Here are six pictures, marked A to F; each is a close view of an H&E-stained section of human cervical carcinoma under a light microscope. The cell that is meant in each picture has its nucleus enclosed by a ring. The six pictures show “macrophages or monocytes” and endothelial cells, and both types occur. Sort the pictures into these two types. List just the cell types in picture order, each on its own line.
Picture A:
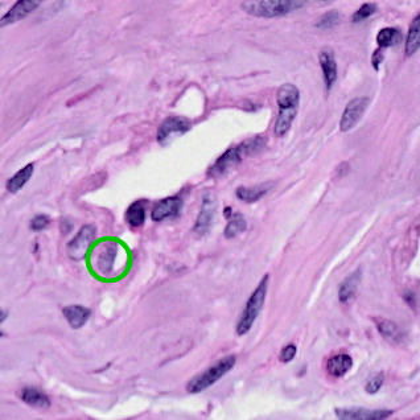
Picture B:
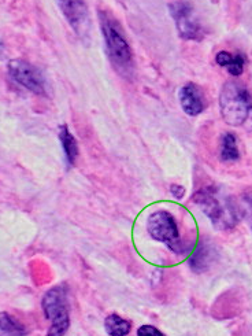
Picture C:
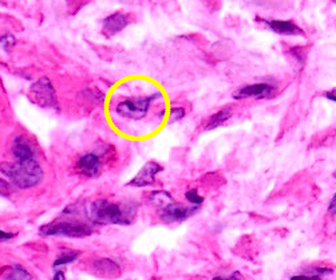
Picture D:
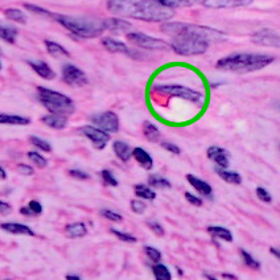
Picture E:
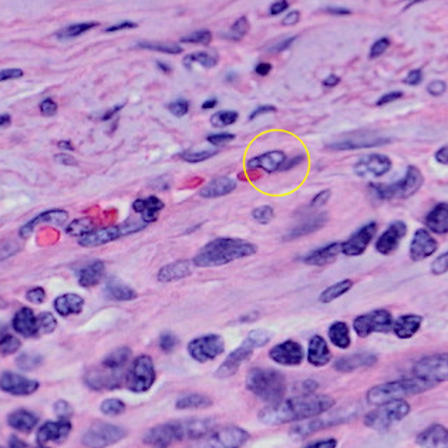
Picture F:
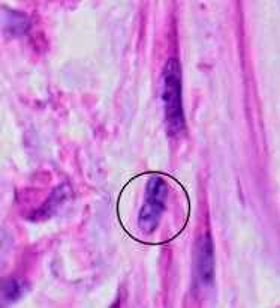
endothelial cell
macrophage or monocyte
macrophage or monocyte
endothelial cell
endothelial cell
macrophage or monocyte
